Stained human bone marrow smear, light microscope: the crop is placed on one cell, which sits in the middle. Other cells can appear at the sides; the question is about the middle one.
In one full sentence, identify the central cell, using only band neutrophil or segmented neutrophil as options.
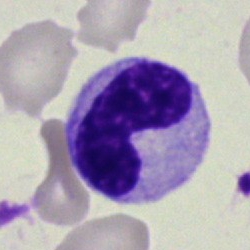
The centrally positioned cell in the crop represents a band neutrophil.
